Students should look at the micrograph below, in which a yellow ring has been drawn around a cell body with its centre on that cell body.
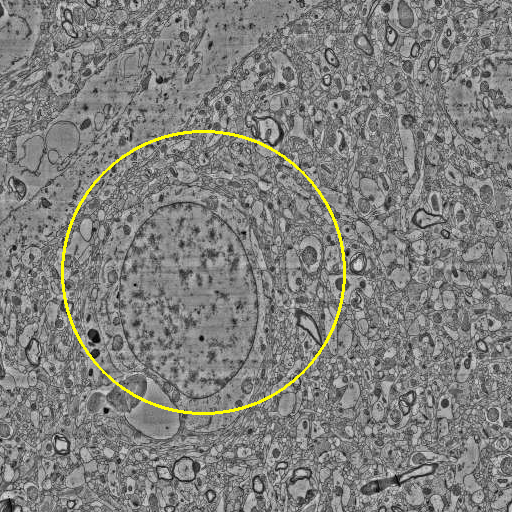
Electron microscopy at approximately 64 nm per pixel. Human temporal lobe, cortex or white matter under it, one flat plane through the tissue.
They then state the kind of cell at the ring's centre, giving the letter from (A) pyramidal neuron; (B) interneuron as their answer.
A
